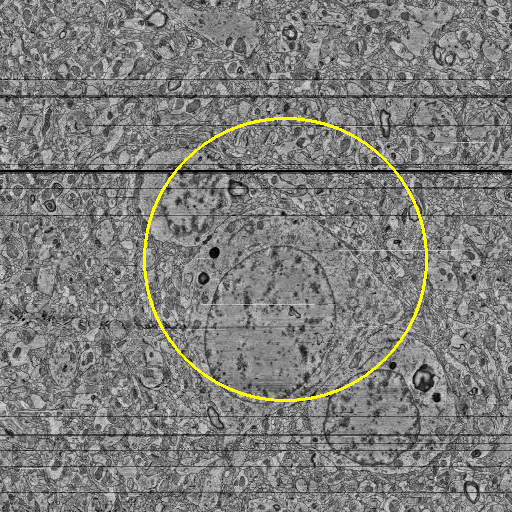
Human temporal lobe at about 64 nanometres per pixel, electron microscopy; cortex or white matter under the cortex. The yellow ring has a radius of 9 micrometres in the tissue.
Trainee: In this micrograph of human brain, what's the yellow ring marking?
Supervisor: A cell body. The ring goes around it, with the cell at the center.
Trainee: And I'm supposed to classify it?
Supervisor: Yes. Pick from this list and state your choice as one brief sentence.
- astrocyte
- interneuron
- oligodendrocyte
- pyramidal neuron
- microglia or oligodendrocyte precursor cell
The cell at the ring's center is a pyramidal neuron.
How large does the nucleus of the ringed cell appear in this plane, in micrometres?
About 11 micrometres by about 8 micrometres in this plane.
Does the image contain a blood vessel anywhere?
No, there is no blood vessel.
